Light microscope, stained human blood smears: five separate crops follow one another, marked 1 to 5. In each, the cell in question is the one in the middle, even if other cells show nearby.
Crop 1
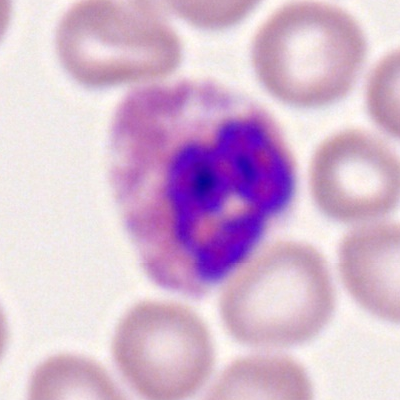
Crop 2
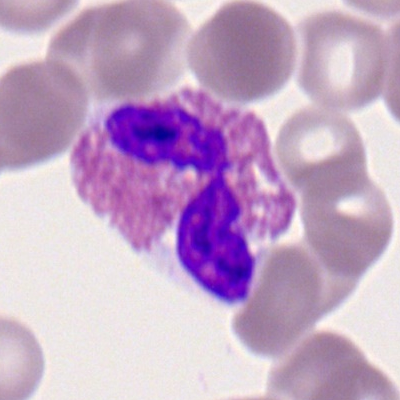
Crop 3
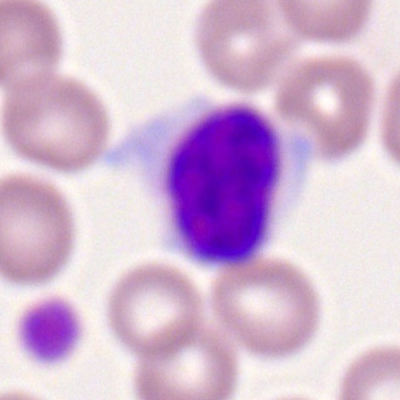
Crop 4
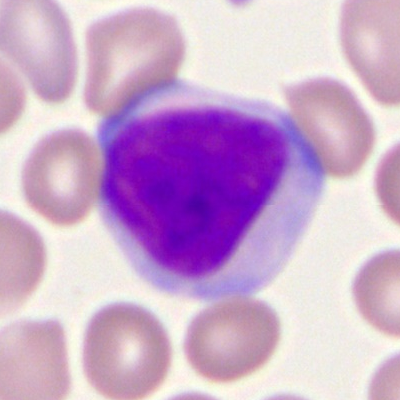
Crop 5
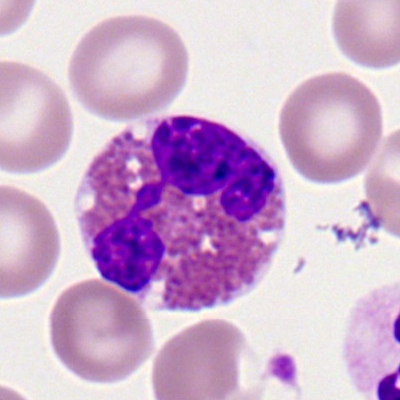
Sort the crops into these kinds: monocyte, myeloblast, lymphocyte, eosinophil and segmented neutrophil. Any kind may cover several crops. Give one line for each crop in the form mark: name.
1: eosinophil
2: eosinophil
3: lymphocyte
4: myeloblast
5: eosinophil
